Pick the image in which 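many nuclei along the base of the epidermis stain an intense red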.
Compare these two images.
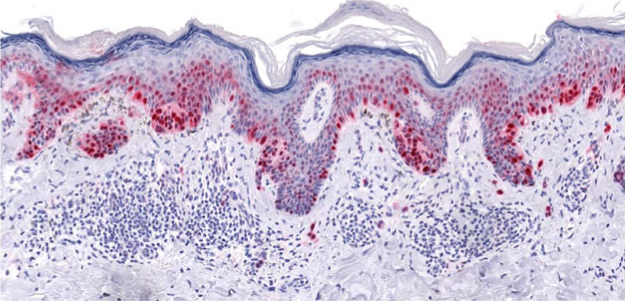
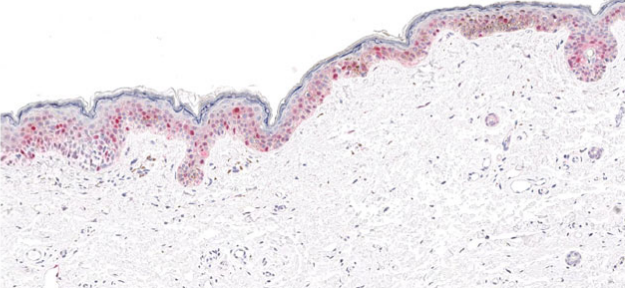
the first image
